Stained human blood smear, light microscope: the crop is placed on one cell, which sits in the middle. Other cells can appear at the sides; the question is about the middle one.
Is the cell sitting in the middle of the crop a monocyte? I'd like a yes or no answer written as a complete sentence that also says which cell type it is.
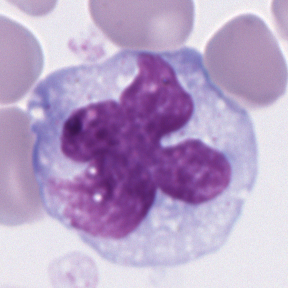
Yes, the central cell here is a monocyte.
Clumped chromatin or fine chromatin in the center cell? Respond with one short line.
What stands out is fine chromatin lacking any coarse clumps.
